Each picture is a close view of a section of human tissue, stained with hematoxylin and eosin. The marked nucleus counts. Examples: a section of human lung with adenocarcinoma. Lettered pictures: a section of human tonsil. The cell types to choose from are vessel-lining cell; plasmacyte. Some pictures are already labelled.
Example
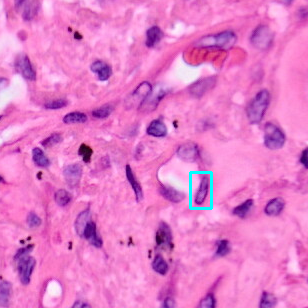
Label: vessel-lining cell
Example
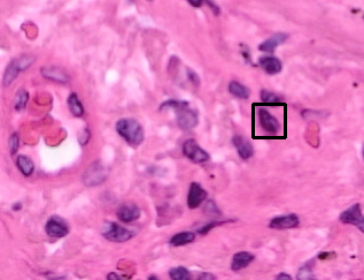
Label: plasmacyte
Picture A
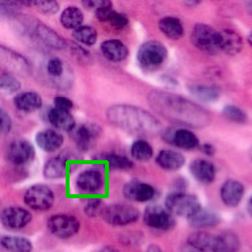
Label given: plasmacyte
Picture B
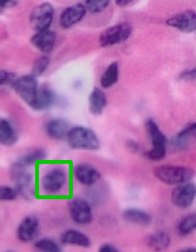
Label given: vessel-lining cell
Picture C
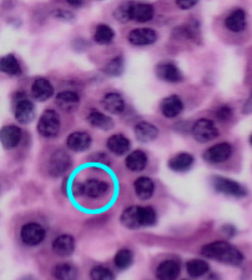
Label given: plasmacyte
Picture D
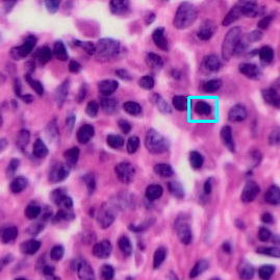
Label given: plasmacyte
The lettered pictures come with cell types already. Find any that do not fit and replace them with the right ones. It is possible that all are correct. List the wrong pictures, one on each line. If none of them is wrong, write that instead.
B is labelled vessel-lining cell; correct label: plasmacyte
